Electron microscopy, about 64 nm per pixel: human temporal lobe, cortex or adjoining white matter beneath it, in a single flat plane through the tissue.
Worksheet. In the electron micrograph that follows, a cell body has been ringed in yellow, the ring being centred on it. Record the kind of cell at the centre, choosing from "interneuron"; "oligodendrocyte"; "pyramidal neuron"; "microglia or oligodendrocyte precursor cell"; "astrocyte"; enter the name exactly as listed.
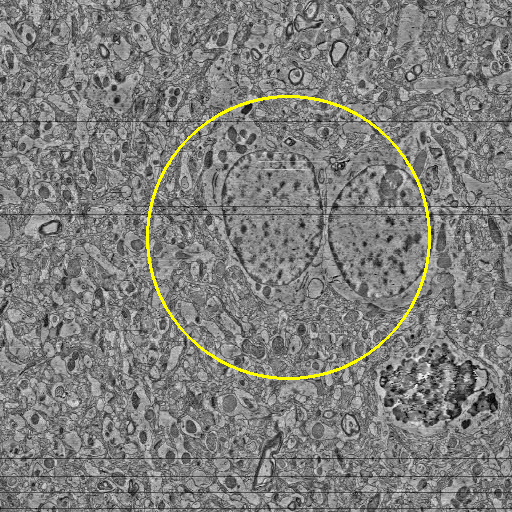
astrocyte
